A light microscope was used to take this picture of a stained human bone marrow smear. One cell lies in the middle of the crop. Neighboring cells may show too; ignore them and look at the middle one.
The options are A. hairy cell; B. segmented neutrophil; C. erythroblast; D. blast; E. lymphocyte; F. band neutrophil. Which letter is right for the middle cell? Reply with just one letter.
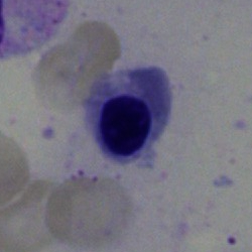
C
